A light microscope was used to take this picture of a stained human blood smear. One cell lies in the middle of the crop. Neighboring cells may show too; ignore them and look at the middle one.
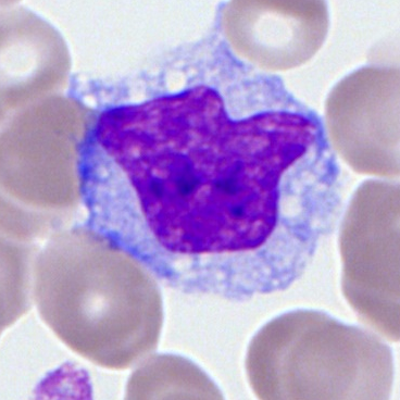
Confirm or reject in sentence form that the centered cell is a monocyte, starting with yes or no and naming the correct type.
Yes, centred in the crop is a monocyte.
